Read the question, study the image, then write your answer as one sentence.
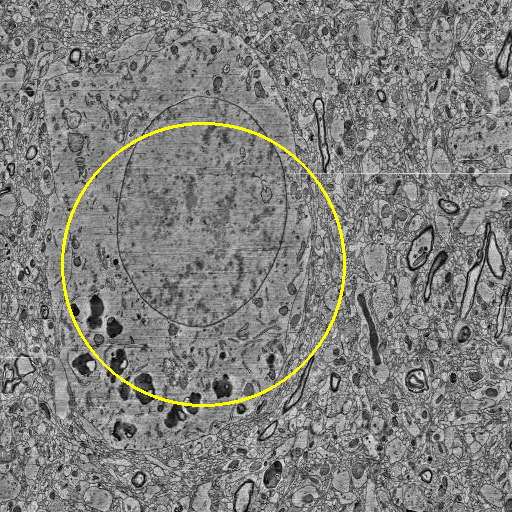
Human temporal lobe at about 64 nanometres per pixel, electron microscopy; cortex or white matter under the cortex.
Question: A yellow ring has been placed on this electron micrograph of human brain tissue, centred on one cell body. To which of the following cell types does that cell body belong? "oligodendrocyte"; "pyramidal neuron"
That cell body belongs to a pyramidal neuron.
